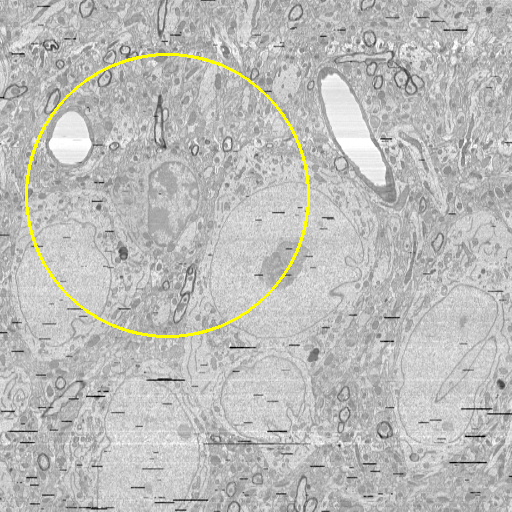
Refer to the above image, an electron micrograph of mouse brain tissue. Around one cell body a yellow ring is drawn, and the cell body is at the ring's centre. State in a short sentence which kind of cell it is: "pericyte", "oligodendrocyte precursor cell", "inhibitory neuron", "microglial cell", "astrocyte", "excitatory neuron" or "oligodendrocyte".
The centre of the ring falls on an oligodendrocyte.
